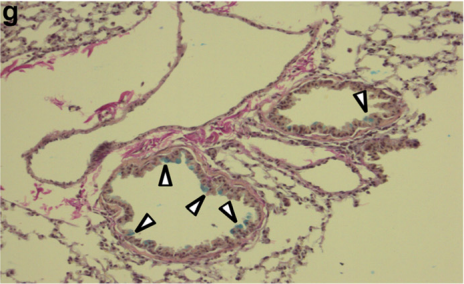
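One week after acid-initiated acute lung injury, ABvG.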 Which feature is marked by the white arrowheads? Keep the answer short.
Mucus.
